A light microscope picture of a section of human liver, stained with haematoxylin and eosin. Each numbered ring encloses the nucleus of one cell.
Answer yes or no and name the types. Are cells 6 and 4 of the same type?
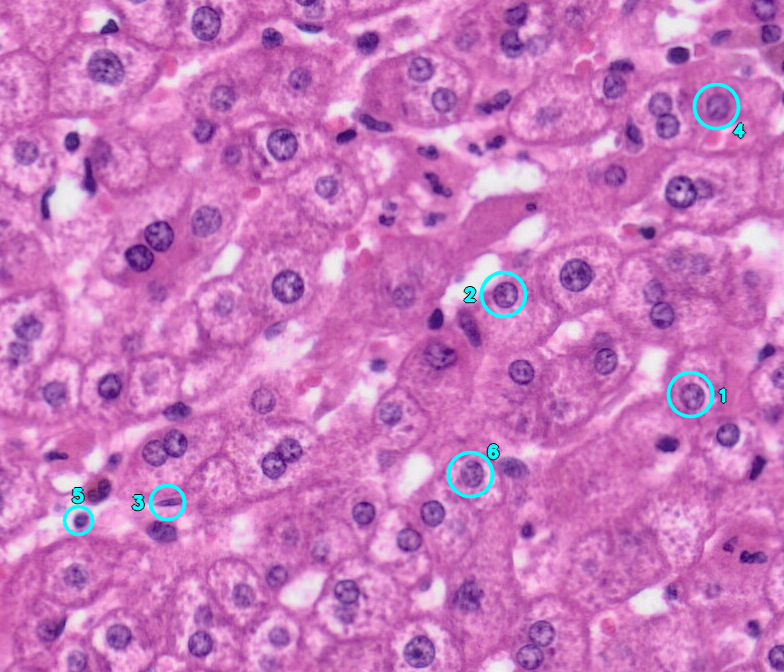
Yes, cells 6 and 4 have the same identity; both are hepatocytes.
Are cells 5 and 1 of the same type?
No, cell 5 is recognized as a lymphocyte, and cell 1 as a hepatocyte.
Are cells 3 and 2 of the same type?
No, the cell numbered 3 is an endothelial cell and the cell numbered 2 is a hepatocyte.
